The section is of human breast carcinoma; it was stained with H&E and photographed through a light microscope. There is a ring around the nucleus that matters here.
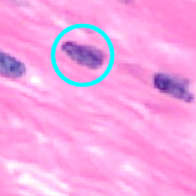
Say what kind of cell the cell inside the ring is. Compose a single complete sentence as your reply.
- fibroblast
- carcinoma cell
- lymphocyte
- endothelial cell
As far as its identity is concerned, the cell inside the ring is a lymphocyte.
